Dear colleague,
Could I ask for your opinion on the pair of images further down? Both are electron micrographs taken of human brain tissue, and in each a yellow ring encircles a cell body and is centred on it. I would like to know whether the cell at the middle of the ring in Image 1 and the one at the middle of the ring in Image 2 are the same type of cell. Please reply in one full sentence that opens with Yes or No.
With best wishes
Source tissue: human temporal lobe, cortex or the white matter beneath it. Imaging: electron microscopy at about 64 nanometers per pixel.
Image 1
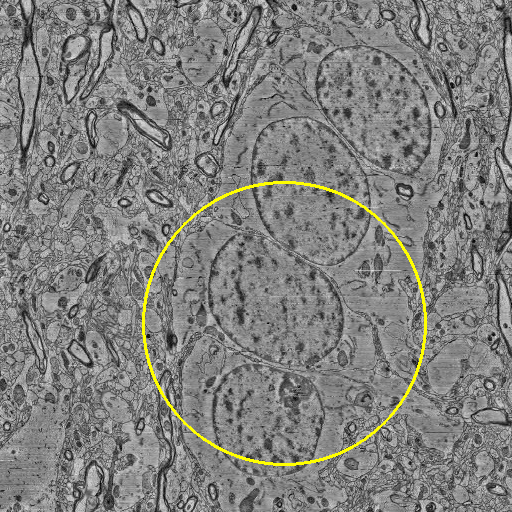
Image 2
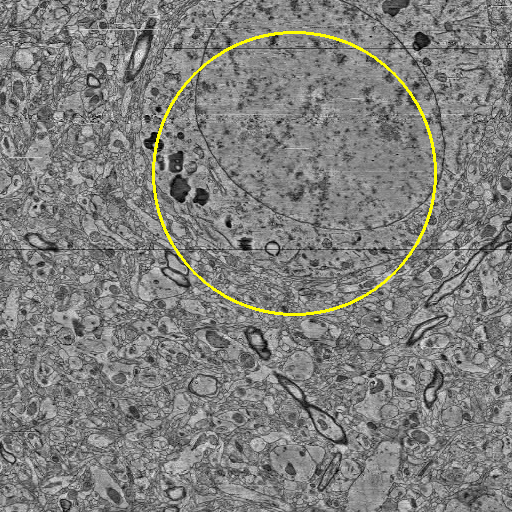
No, the cells at the ring centres in Image 1 and Image 2 are of two types.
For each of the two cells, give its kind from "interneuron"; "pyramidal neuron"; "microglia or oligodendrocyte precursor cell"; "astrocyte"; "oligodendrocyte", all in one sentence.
The first picture has an astrocyte in its ring, the second has a pyramidal neuron.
